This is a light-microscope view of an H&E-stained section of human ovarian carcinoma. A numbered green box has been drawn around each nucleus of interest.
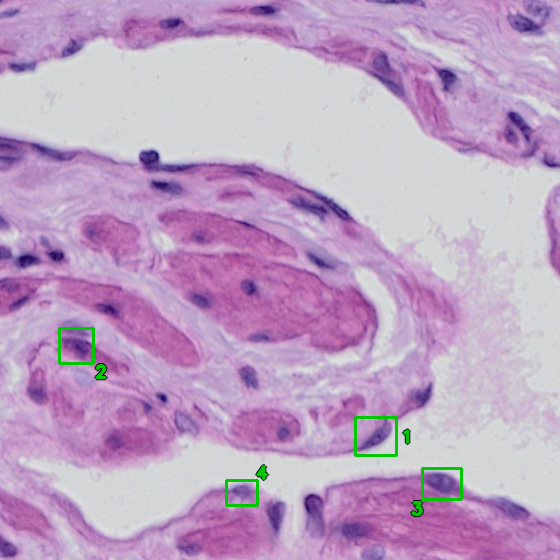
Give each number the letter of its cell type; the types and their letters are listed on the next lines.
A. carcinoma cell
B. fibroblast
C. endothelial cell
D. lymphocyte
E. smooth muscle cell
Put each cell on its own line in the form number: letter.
1: C
2: E
3: C
4: C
